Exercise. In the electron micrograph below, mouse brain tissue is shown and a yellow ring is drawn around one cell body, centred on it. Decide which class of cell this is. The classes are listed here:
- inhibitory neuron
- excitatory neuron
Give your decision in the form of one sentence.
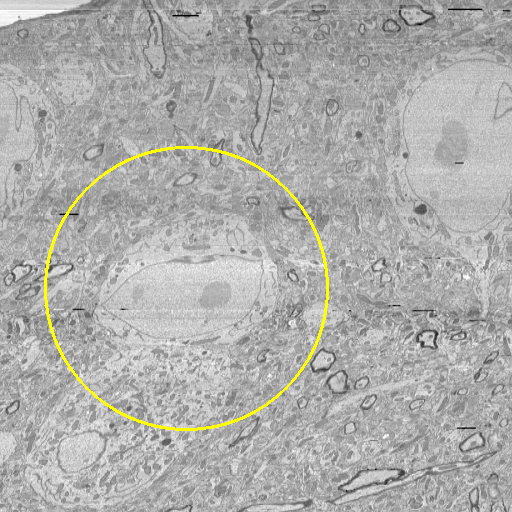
The cell body marked by the ring belongs to an excitatory neuron.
